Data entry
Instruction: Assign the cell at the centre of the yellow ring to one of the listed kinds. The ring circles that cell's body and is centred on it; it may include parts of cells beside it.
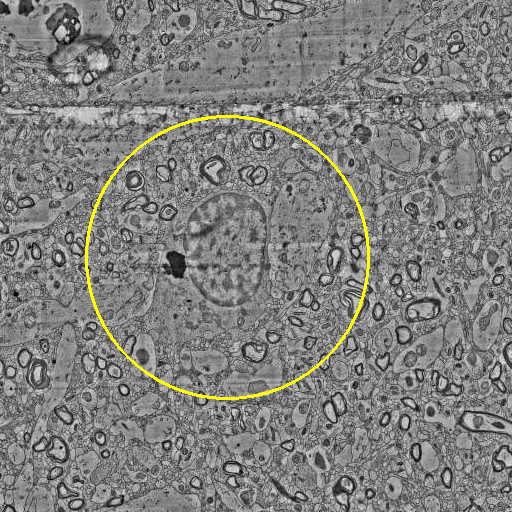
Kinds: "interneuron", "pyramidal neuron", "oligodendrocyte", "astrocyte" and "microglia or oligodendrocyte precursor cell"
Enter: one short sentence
The centre of the ring falls on an oligodendrocyte.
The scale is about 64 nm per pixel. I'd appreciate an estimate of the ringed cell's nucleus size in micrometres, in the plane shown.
In this plane the nucleus spans approximately 7 by 6 micrometers.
